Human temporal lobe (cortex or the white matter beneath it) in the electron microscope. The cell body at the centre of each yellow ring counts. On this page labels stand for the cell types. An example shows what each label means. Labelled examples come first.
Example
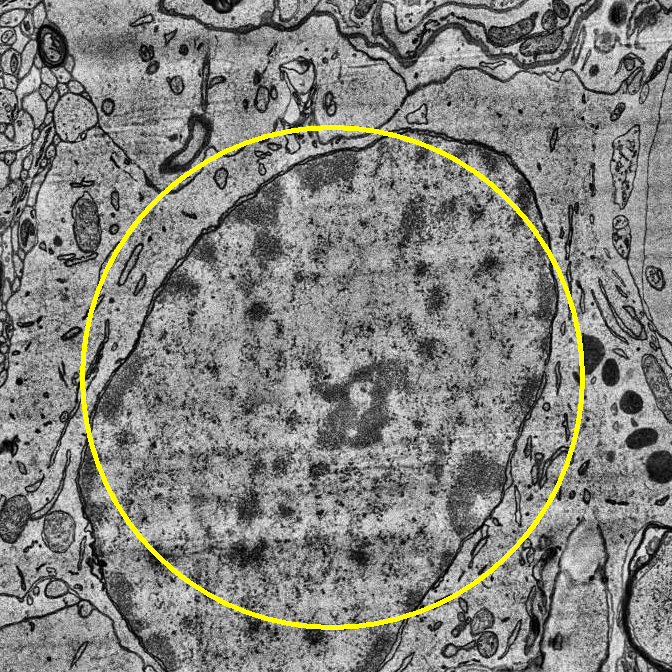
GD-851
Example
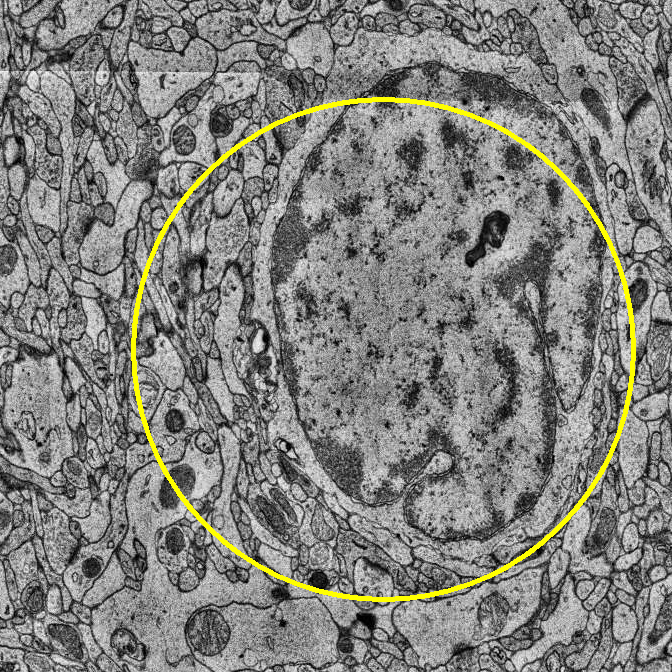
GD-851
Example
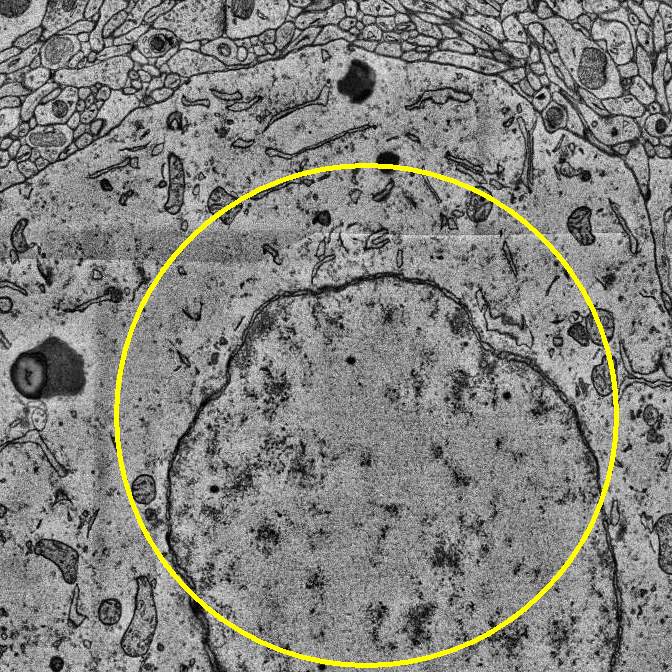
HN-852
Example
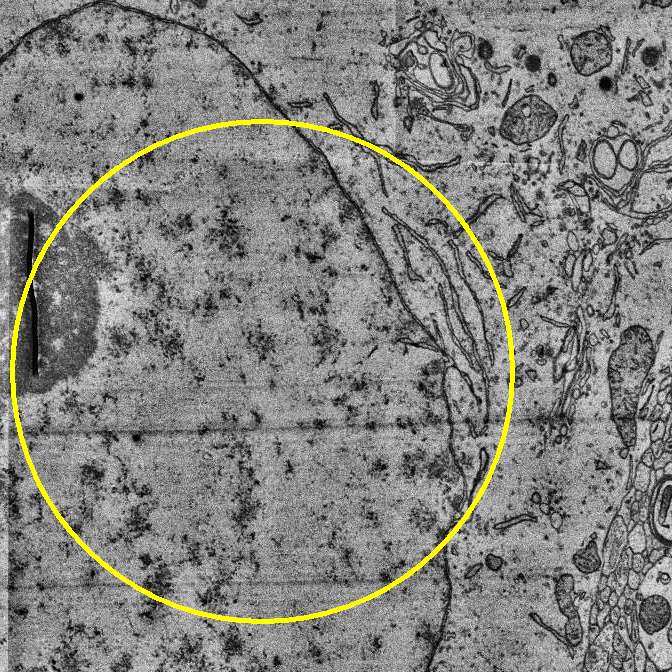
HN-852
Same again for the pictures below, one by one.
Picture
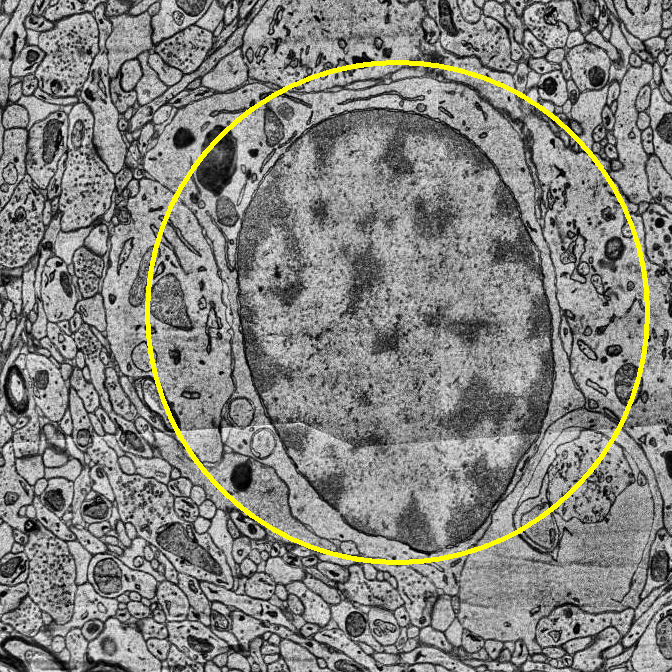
GD-851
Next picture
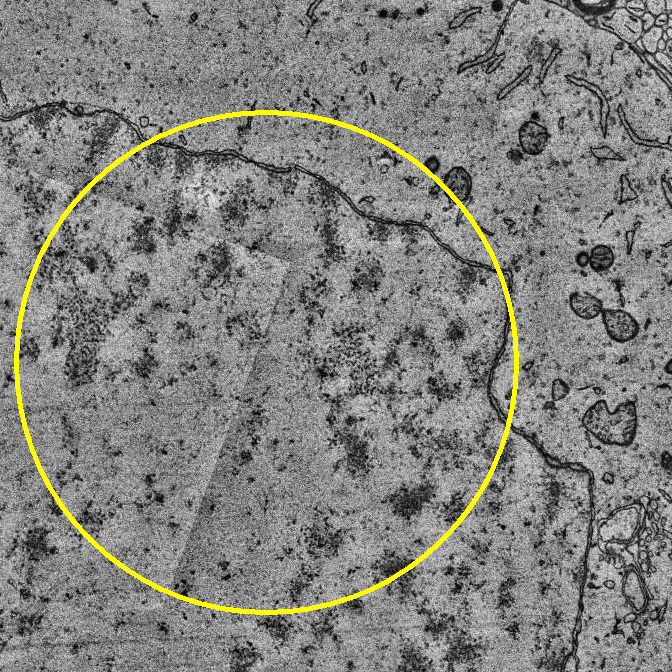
HN-852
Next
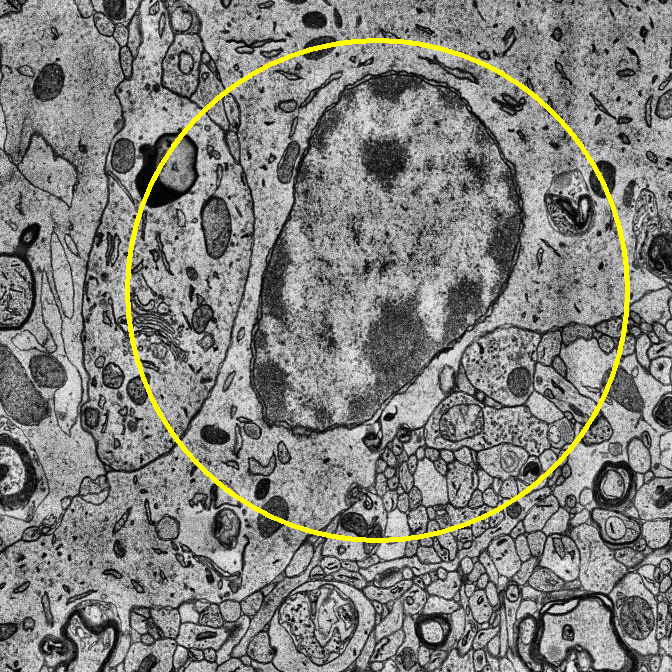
GD-851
